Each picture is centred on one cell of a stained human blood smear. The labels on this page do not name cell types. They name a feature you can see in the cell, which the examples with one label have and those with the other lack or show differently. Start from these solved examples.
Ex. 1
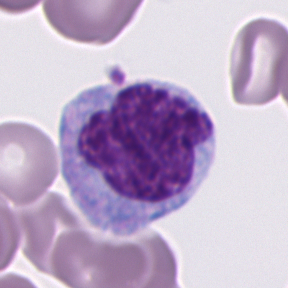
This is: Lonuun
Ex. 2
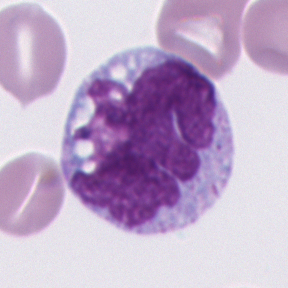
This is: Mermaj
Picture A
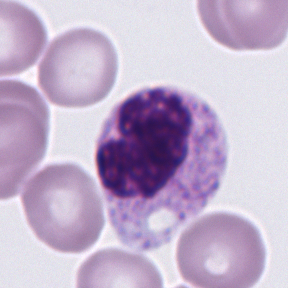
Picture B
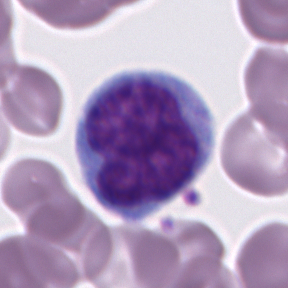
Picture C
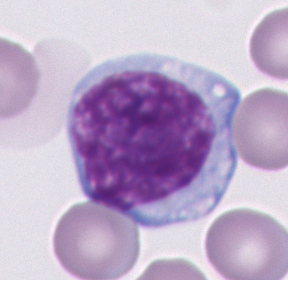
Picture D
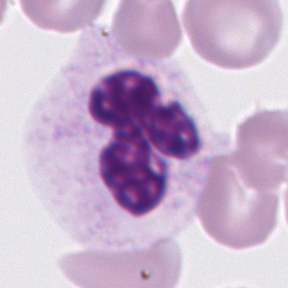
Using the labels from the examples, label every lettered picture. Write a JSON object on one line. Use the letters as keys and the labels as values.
{"A": "Mermaj", "B": "Lonuun", "C": "Mermaj", "D": "Lonuun"}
